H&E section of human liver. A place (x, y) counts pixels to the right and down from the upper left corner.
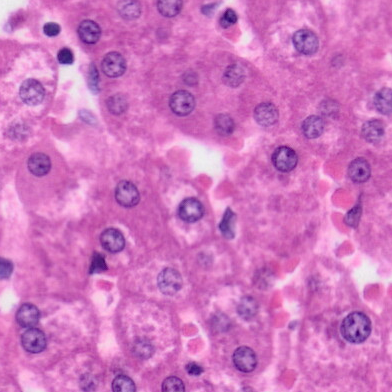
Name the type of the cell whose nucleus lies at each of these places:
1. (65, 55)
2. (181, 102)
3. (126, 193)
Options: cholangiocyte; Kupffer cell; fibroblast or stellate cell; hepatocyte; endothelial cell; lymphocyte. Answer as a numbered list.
1. lymphocyte
2. hepatocyte
3. hepatocyte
